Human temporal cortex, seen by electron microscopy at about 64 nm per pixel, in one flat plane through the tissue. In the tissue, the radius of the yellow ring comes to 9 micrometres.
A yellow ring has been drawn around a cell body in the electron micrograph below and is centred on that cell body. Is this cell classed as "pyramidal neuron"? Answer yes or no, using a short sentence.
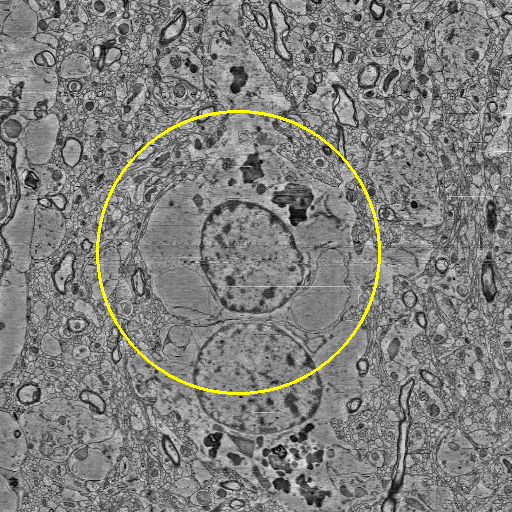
No, it is classed as another kind.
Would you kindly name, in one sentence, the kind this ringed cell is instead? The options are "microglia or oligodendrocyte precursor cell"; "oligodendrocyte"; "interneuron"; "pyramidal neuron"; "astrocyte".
Instead, the ring surrounds an astrocyte in this picture.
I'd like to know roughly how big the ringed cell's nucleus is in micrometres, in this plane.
The nucleus has a long axis of about 8 micrometres and a short axis of about 6 micrometres in this plane.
